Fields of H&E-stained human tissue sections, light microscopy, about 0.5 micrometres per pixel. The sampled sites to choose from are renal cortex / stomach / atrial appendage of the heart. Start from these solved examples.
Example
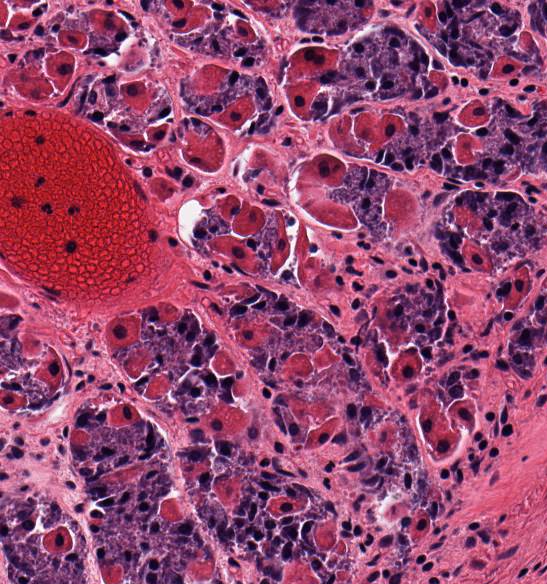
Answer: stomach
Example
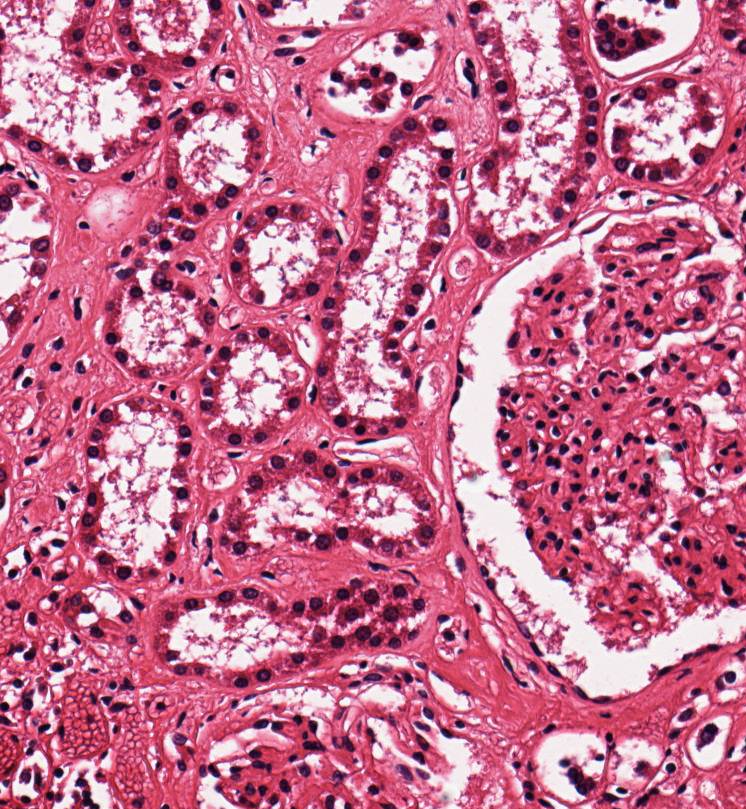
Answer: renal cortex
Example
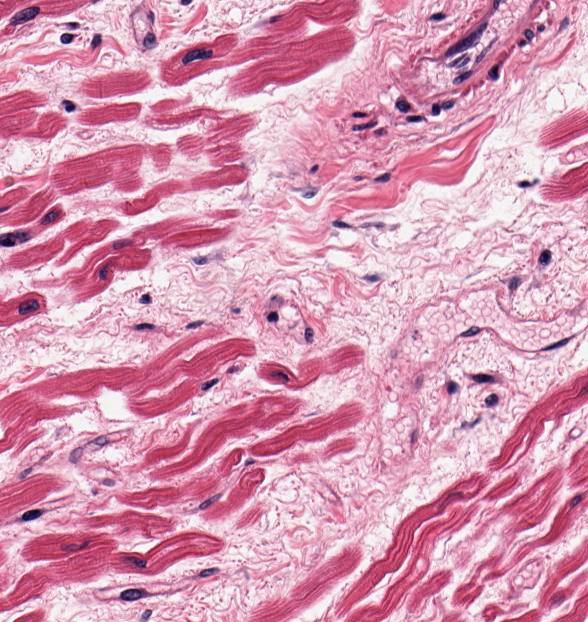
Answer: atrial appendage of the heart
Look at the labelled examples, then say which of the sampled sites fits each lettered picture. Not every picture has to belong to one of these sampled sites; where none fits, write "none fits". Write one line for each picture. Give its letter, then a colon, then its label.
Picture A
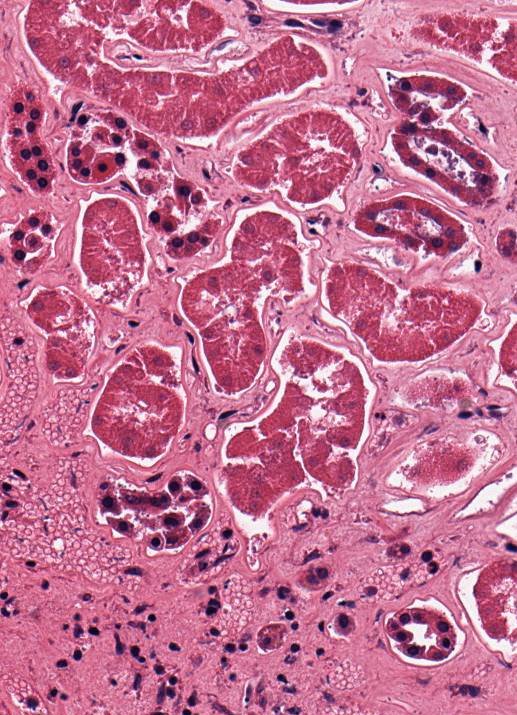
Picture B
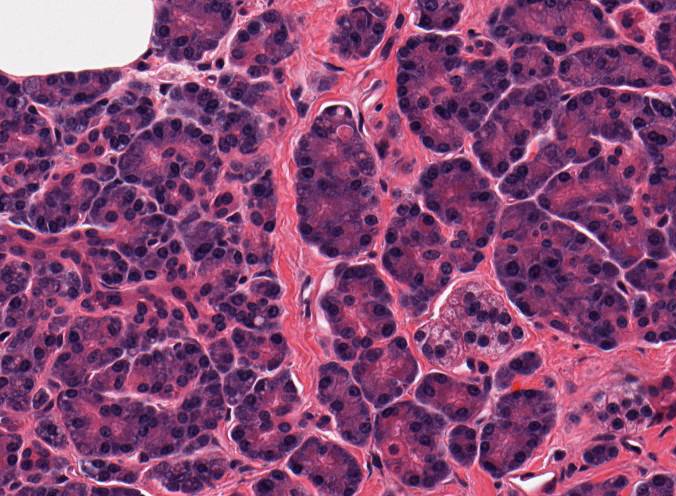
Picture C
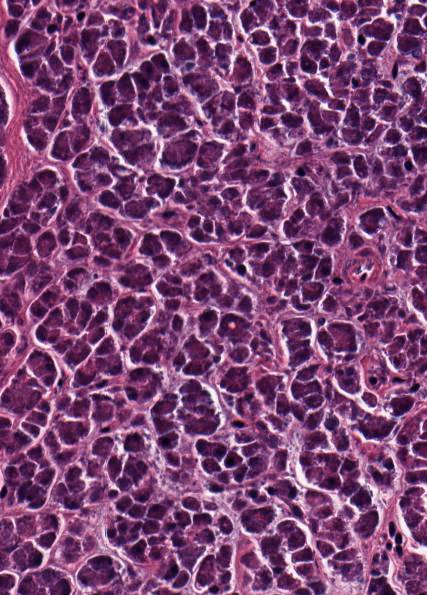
A: renal cortex
B: none fits
C: none fits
